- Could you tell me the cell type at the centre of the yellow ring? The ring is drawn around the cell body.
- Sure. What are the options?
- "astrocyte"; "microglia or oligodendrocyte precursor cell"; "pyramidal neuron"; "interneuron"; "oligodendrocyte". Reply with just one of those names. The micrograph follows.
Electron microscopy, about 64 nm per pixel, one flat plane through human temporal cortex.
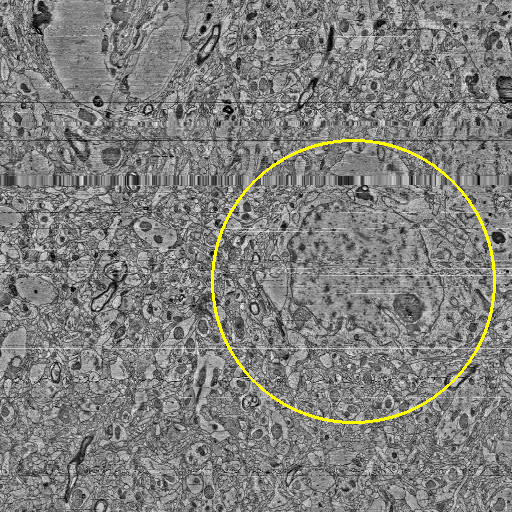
interneuron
